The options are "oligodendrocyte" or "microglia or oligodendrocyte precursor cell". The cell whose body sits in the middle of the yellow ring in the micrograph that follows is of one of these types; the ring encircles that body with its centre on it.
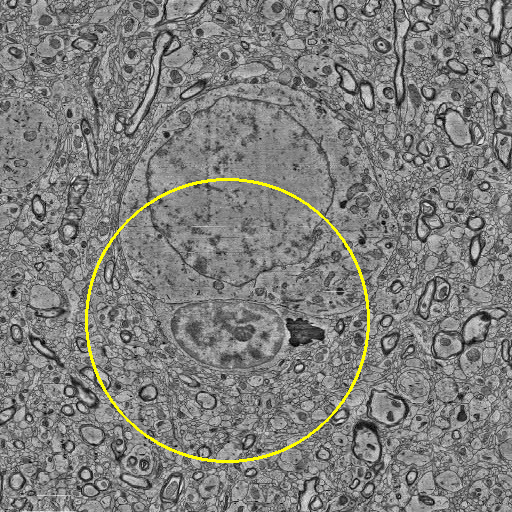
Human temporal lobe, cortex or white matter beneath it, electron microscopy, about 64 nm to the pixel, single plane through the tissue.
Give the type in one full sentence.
Going by the micrograph, the cell centred in the yellow ring is an oligodendrocyte.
